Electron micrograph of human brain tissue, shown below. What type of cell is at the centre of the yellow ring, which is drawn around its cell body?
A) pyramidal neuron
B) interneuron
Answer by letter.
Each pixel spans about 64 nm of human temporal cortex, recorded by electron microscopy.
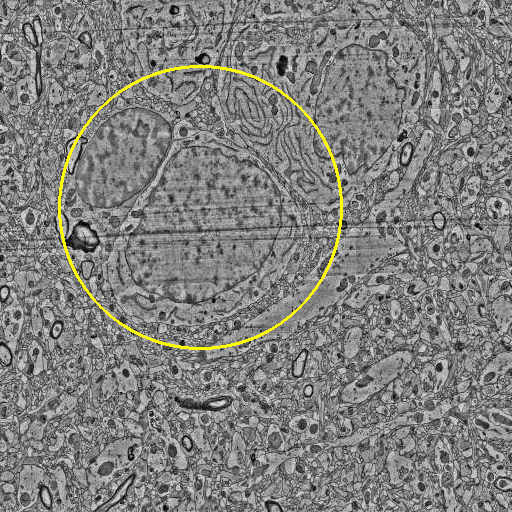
B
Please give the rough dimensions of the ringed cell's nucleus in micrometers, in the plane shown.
In this plane, the nucleus of the cell at the centre of the ring measures about 11 by 9 micrometres.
